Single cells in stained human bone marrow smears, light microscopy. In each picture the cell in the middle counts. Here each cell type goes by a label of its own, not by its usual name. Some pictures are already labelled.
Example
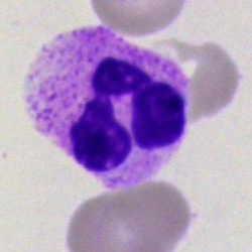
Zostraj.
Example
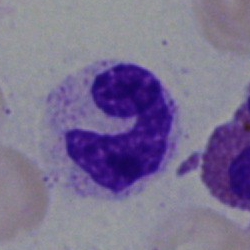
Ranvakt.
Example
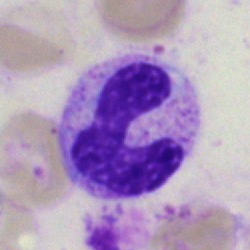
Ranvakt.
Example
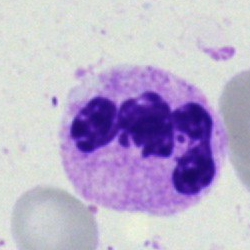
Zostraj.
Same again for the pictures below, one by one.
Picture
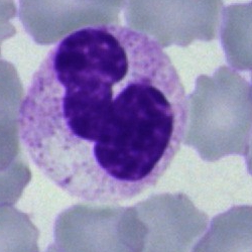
Zostraj.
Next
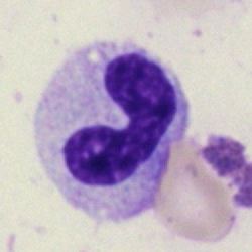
Ranvakt.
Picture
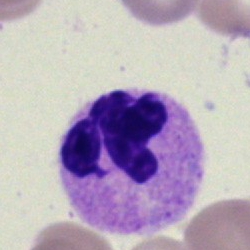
Zostraj.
